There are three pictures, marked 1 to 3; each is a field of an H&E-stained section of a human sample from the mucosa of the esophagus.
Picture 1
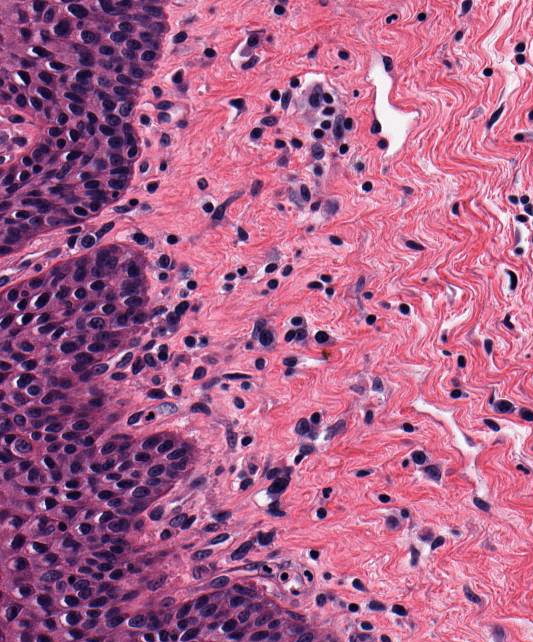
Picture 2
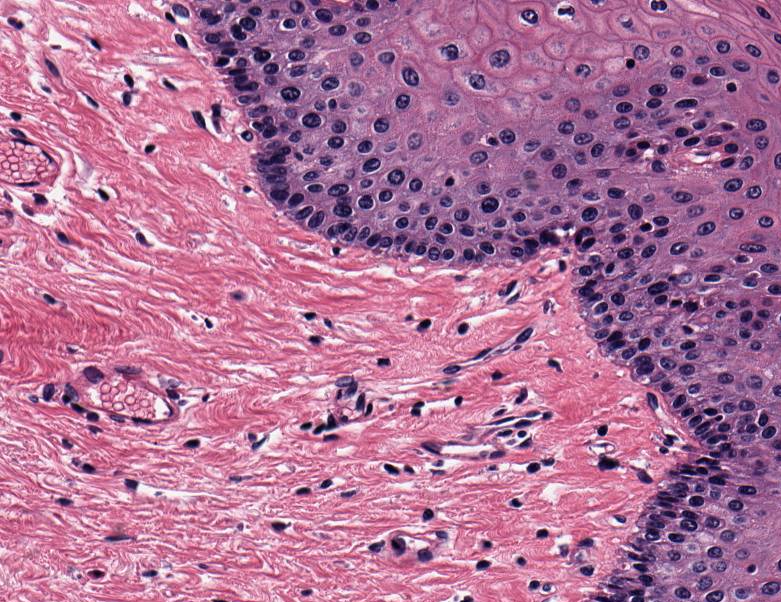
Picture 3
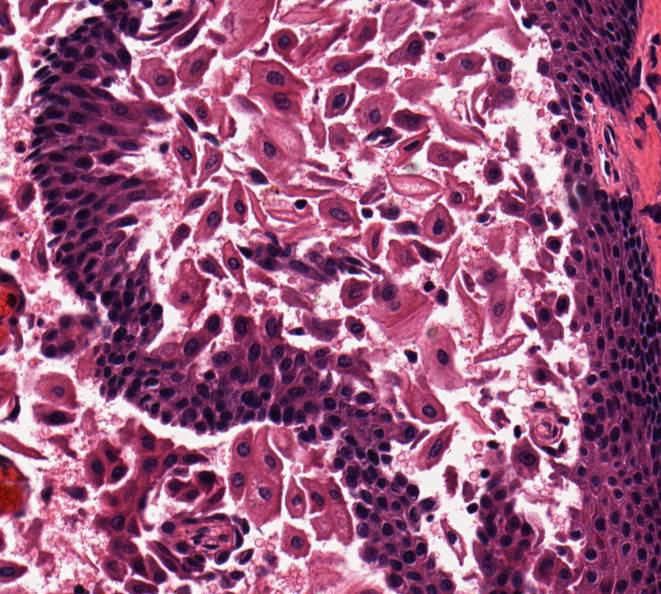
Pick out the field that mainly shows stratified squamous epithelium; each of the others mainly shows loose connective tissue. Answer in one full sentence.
Picture 3 is the field that mainly shows stratified squamous epithelium.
